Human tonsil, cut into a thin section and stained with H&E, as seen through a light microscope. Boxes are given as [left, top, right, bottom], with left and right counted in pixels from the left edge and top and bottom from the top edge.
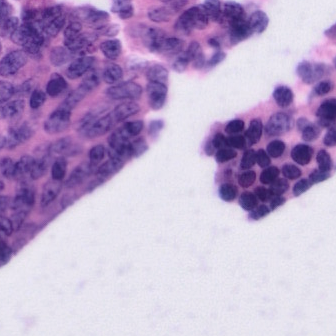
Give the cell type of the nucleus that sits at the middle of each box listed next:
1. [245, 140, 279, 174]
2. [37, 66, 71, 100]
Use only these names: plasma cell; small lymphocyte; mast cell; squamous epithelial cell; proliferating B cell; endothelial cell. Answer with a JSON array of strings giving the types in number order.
["small lymphocyte", "proliferating B cell"]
